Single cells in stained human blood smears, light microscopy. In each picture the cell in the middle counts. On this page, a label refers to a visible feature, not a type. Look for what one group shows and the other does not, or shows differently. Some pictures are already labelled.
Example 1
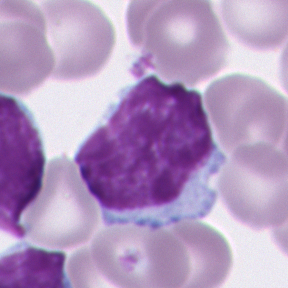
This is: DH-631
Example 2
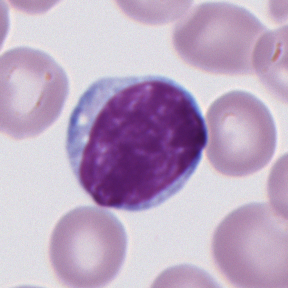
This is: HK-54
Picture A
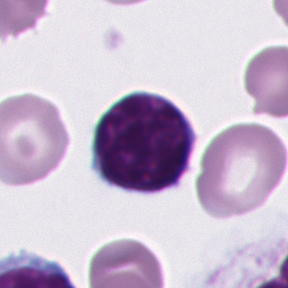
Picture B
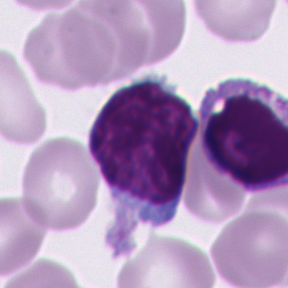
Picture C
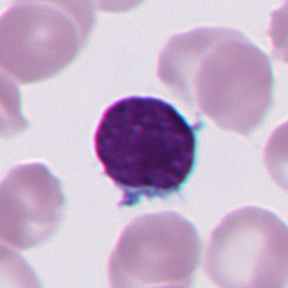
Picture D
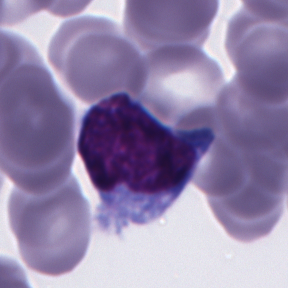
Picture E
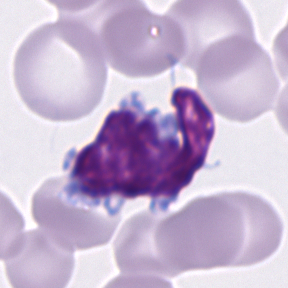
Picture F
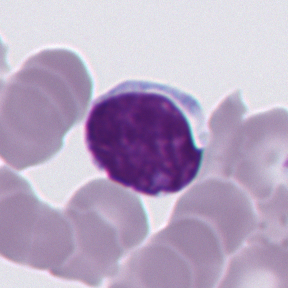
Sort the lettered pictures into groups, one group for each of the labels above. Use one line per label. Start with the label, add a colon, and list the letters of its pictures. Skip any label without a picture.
DH-631: B, C, D, E
HK-54: A, F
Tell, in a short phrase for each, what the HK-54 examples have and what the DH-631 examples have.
Seen in HK-54: smooth outline; seen in DH-631: ragged outline or projections.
